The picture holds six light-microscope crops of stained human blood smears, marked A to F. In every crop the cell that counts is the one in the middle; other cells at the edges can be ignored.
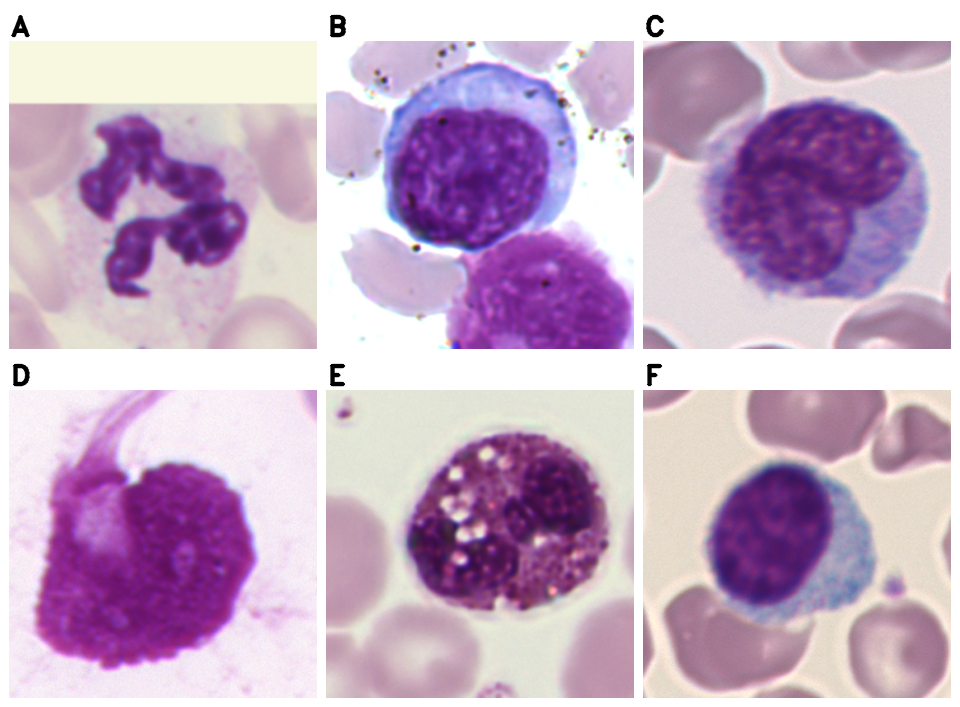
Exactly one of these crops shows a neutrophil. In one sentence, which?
The crop marked A is the one in which a neutrophil is shown.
